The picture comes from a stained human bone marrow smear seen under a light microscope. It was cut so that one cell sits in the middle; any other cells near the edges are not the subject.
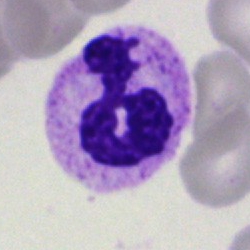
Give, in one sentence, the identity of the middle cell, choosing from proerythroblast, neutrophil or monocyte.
In this crop, the cell at the very middle is a neutrophil.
